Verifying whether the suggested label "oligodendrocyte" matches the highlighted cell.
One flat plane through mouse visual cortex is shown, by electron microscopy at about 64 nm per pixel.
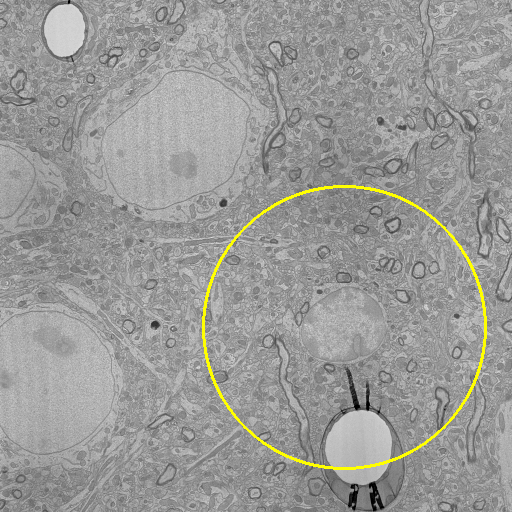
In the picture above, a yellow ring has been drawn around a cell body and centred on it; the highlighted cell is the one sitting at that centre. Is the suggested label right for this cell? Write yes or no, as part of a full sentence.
Yes, the suggested label is right for the cell centred in the yellow ring.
